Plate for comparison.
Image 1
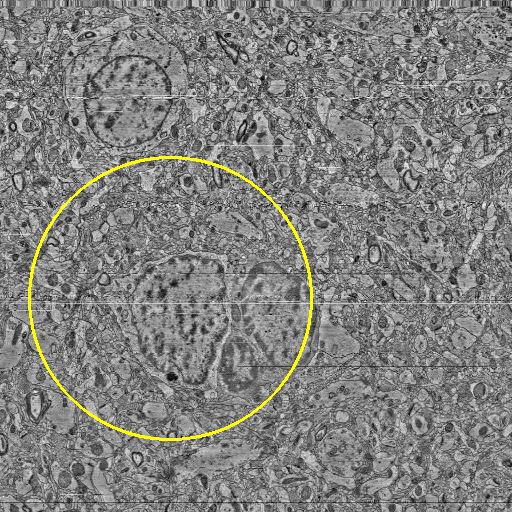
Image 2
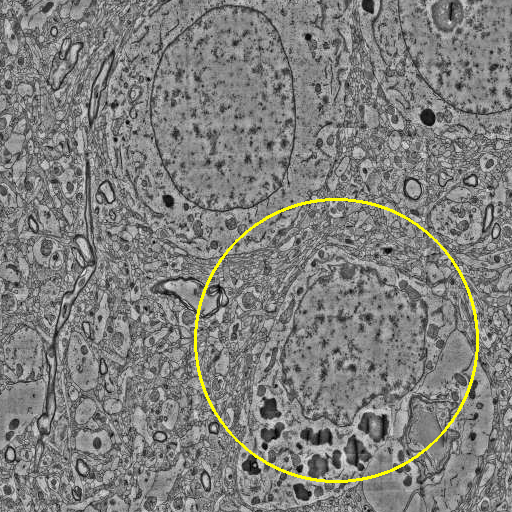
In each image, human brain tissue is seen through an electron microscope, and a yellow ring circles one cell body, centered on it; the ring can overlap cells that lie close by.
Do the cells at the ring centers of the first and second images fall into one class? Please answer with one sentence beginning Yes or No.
Yes, the first and second images show a single class of cell at the ring centers.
